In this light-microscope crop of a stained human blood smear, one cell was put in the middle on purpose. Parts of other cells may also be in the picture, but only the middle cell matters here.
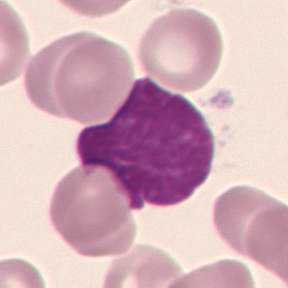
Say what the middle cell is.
smudge cell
